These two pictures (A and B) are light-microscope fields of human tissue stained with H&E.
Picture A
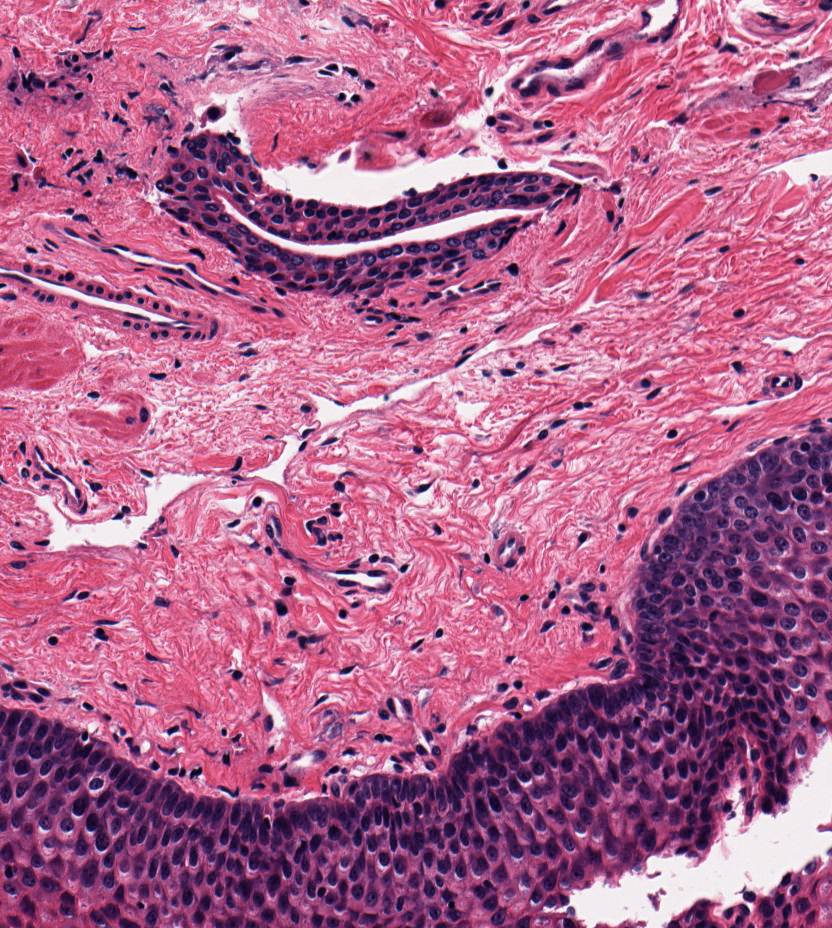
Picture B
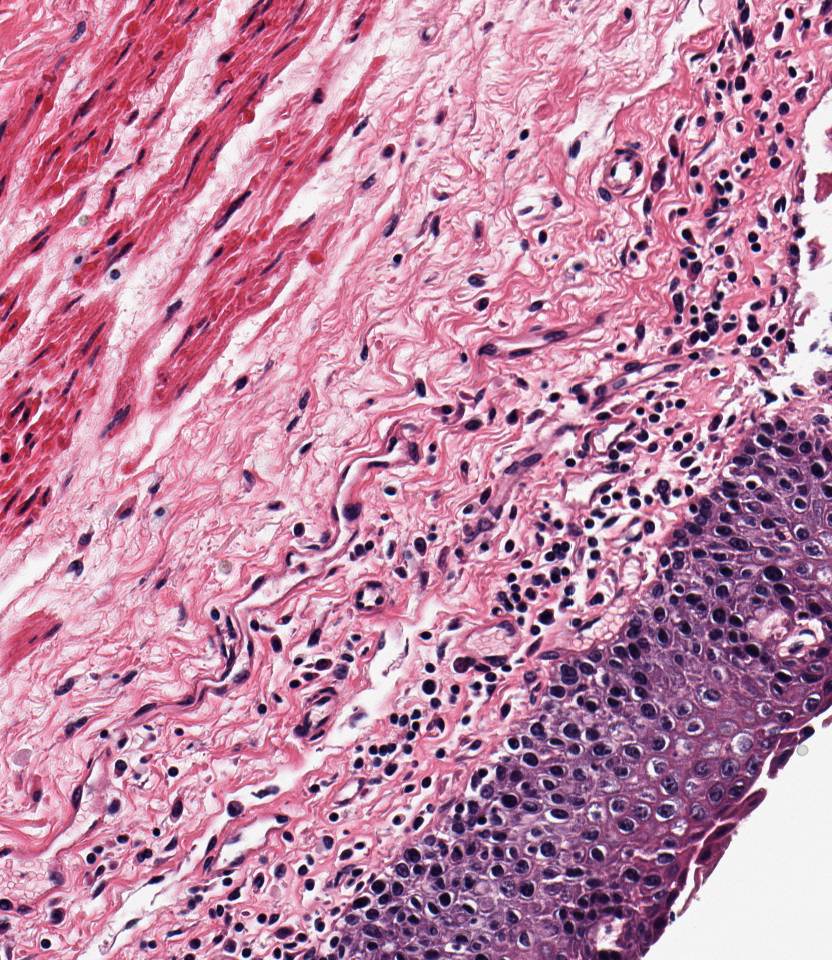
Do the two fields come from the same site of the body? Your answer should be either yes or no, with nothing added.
yes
